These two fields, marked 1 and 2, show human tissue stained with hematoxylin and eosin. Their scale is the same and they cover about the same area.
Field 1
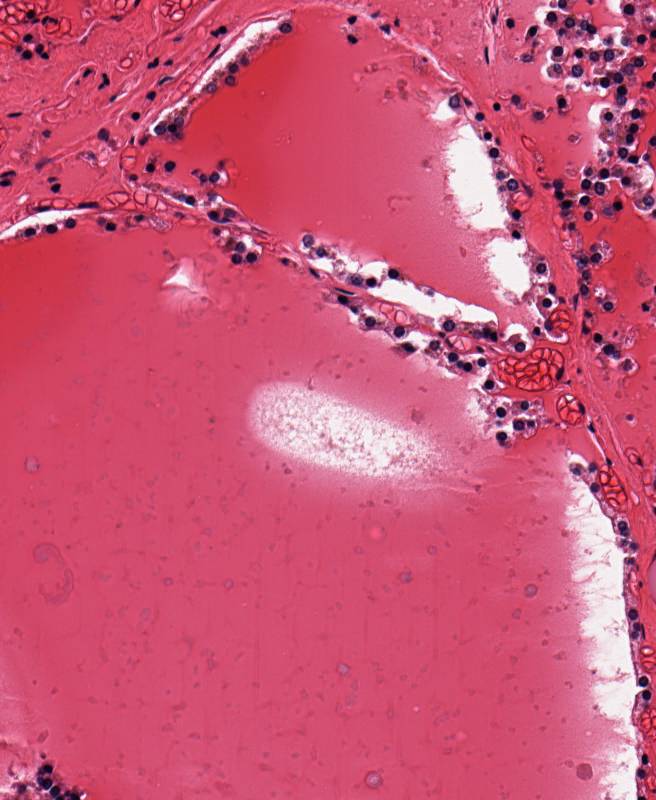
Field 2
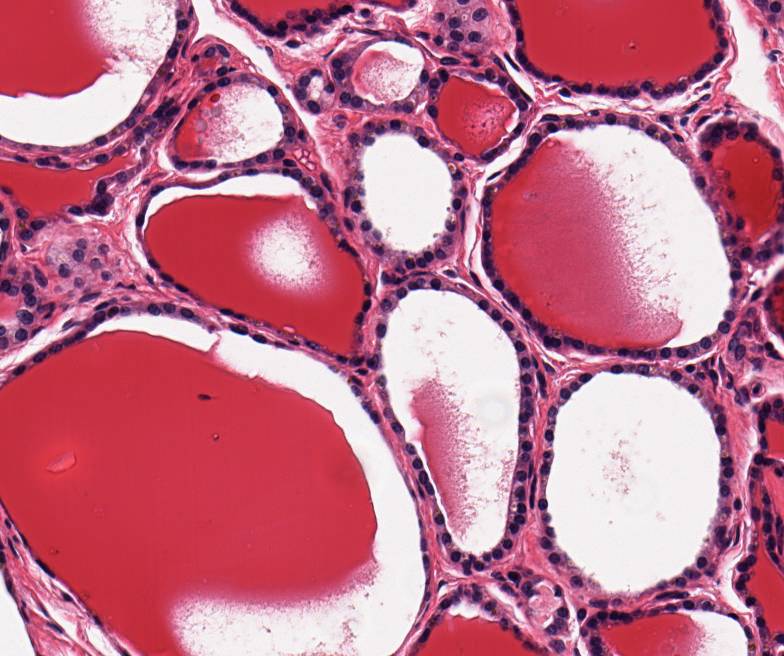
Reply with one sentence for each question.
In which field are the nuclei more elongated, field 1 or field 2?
On the whole the nuclei of field 2 are more drawn out than those of field 1.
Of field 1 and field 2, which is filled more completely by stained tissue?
It is field 1 that stained tissue fills more completely.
